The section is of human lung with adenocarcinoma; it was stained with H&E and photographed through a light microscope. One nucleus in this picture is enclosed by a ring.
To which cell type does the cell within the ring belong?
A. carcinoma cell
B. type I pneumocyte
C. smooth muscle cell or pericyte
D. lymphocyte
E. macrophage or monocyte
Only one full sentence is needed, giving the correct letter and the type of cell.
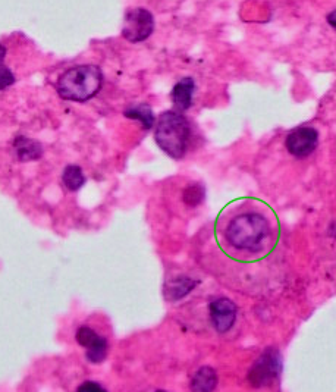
Option E correctly labels the cell within the ring as a macrophage or monocyte.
